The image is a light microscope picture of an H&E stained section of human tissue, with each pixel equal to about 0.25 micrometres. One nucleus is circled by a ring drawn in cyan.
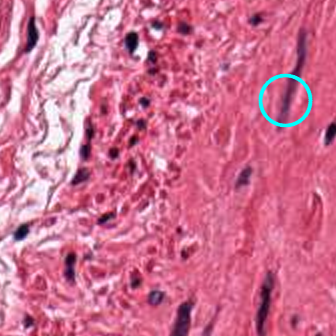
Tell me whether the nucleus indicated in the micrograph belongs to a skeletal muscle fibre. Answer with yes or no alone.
no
